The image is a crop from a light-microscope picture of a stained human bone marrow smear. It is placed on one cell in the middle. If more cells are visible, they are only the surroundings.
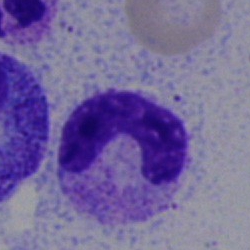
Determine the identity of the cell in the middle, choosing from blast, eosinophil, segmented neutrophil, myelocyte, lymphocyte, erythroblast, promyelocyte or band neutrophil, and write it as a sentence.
Answering briefly, the cell in the middle is a band neutrophil.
